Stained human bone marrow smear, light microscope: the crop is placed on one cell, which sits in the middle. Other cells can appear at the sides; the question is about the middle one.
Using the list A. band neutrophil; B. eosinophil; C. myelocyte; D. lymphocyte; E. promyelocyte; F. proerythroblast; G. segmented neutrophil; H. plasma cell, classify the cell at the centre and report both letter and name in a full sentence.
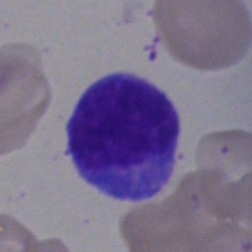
The correct option here is D; the middle cell is a lymphocyte.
